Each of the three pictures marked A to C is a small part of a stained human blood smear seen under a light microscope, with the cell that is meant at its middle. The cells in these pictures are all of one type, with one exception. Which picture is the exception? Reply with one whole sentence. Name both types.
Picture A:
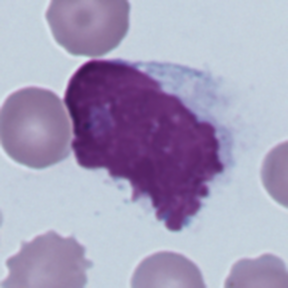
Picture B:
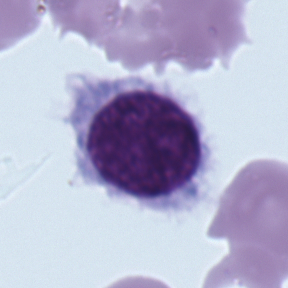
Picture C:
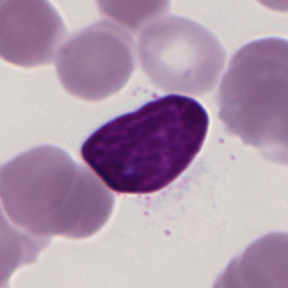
Picture B differs, because its cell is a hairy cell and the rest are smudge cells.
